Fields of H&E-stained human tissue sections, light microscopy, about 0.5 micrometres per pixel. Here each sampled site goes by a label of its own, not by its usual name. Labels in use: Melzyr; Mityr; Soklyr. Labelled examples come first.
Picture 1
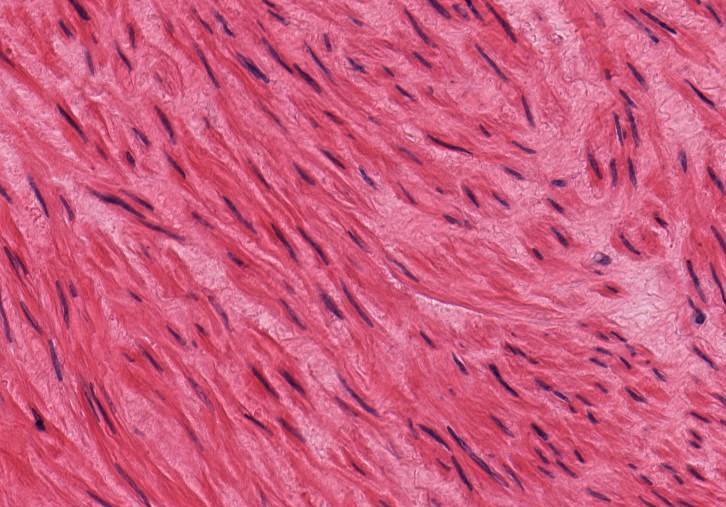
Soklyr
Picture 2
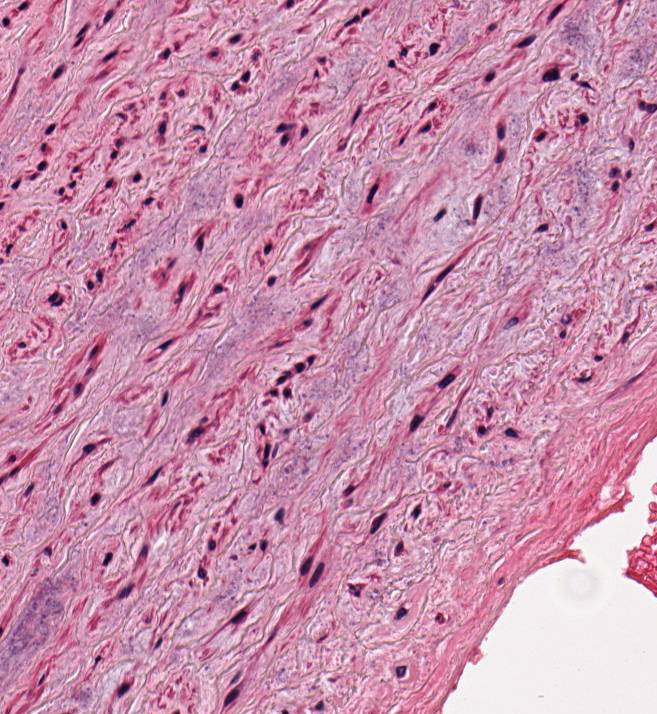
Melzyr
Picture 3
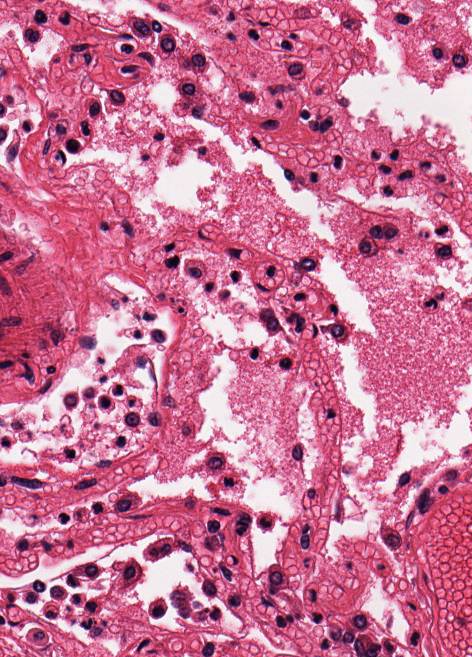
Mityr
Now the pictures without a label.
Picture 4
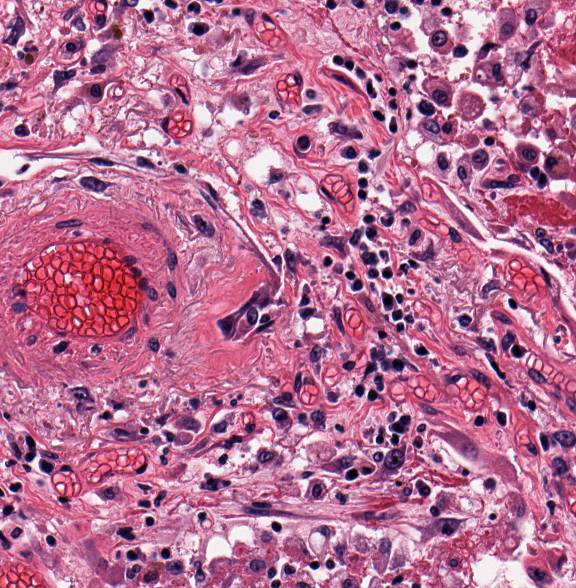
Mityr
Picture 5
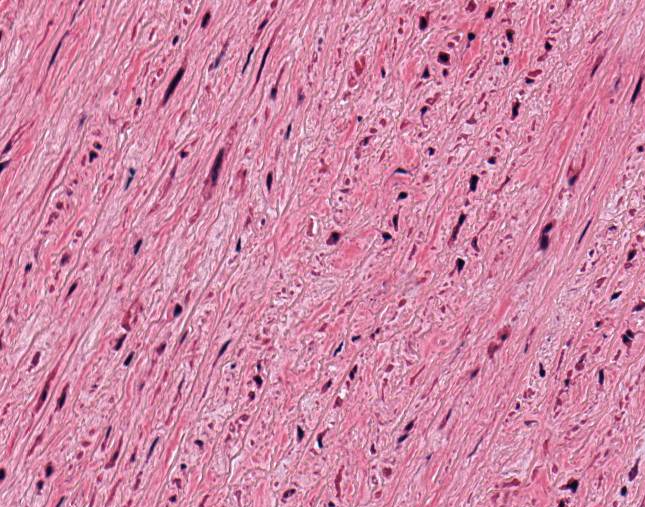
Melzyr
